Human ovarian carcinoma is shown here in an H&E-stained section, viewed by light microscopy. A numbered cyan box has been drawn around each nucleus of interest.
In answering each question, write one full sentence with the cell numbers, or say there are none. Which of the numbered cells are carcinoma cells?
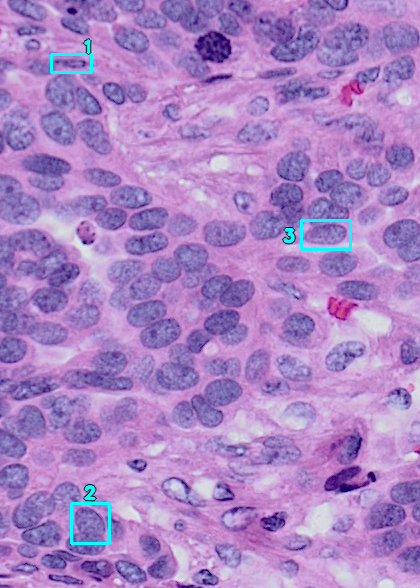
The cells numbered 2 and 3 fall into the category of carcinoma cells.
